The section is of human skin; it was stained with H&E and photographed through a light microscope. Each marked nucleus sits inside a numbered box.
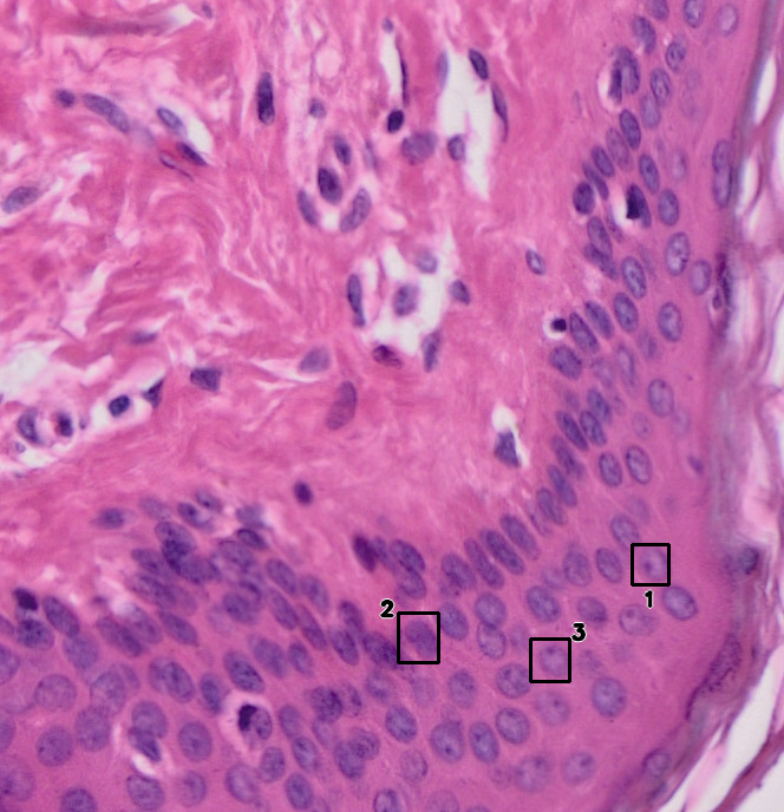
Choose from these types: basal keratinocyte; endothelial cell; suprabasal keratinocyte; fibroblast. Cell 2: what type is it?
basal keratinocyte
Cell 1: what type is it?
suprabasal keratinocyte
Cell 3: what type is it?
suprabasal keratinocyte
